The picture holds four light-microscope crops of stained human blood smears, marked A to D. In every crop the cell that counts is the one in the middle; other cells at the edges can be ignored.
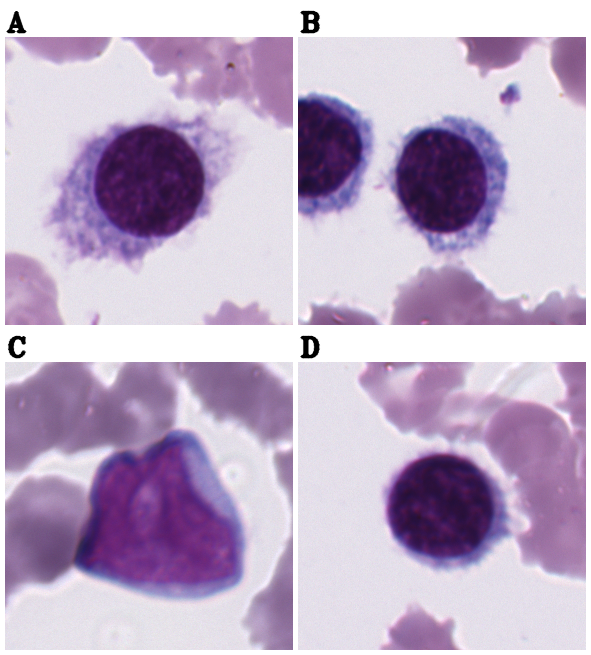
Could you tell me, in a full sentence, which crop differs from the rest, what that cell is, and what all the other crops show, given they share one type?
Of all the crops, only crop C shows a blast; the others show hairy cells.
